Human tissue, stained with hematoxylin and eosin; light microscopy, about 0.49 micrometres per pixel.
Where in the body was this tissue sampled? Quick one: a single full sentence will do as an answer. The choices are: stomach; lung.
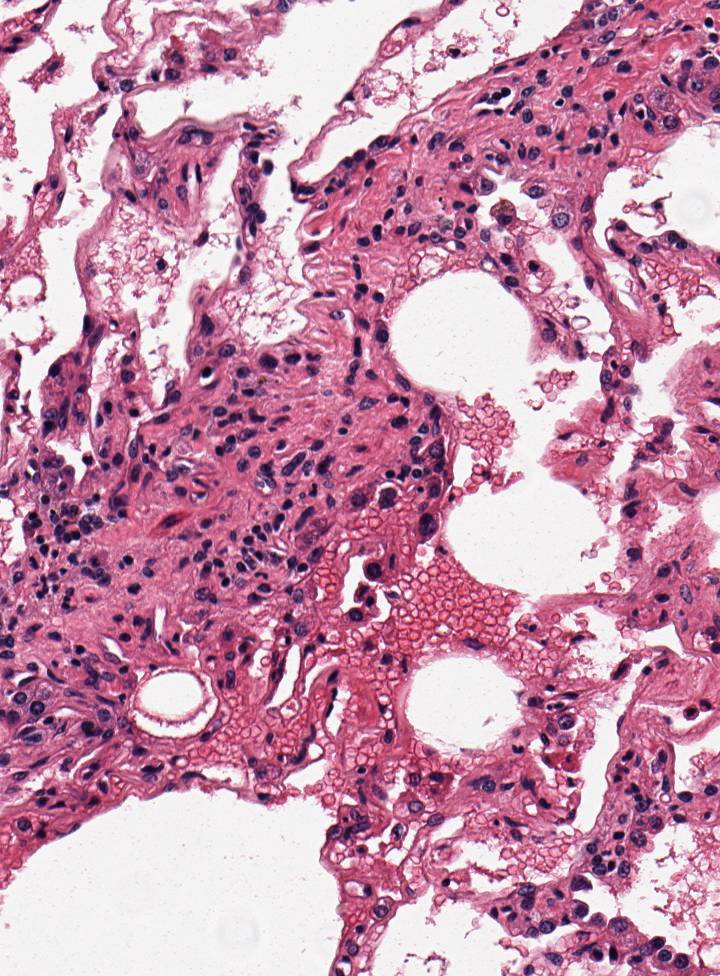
The specimen was sampled from the lung.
